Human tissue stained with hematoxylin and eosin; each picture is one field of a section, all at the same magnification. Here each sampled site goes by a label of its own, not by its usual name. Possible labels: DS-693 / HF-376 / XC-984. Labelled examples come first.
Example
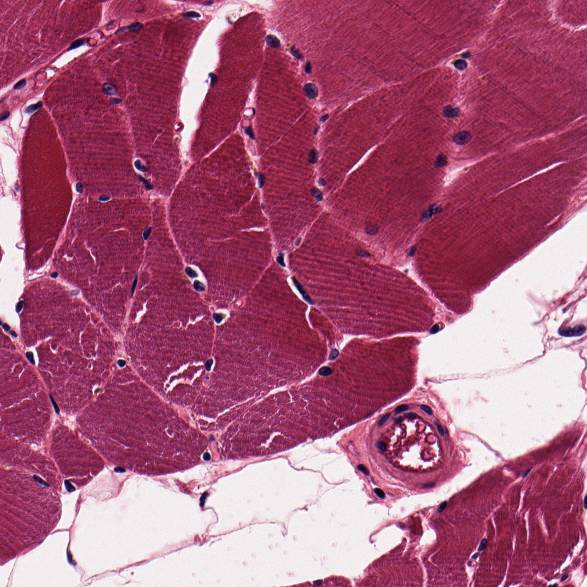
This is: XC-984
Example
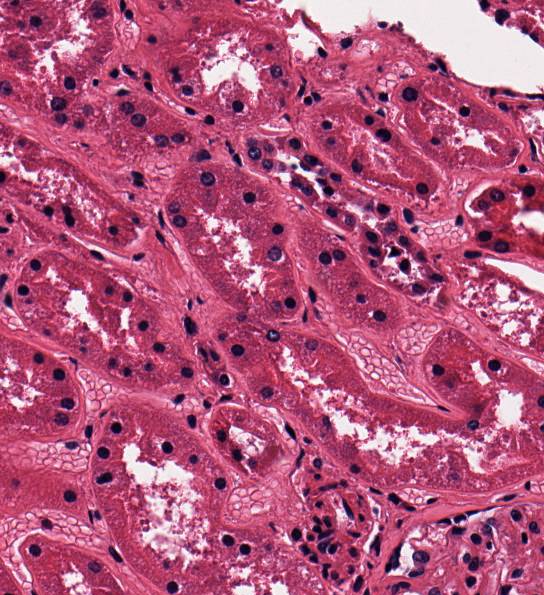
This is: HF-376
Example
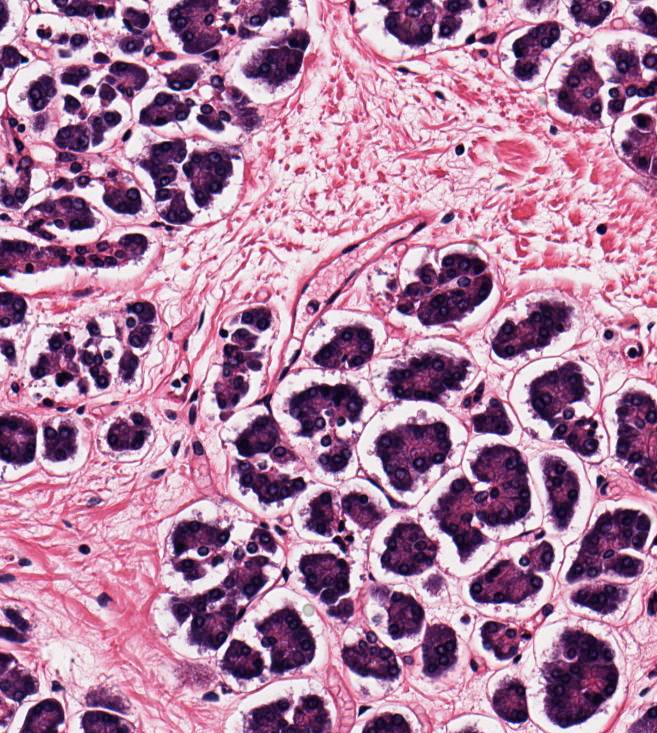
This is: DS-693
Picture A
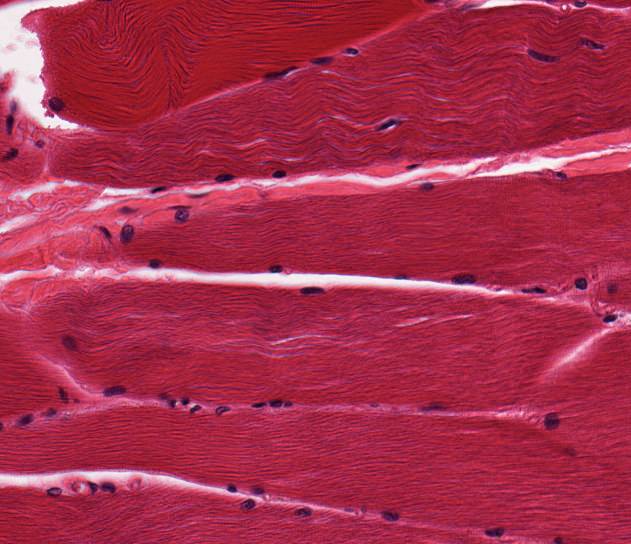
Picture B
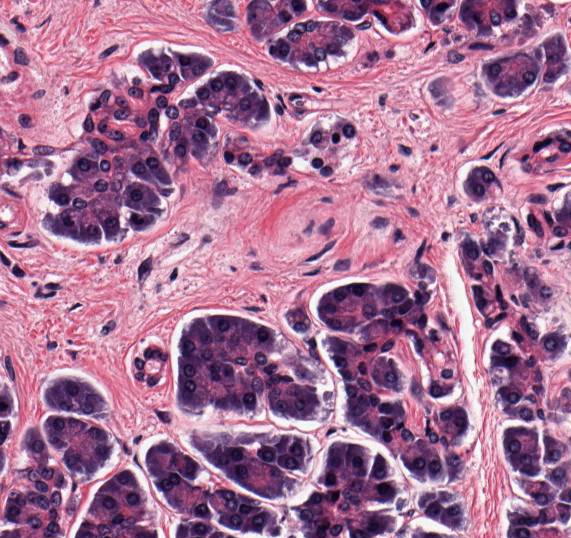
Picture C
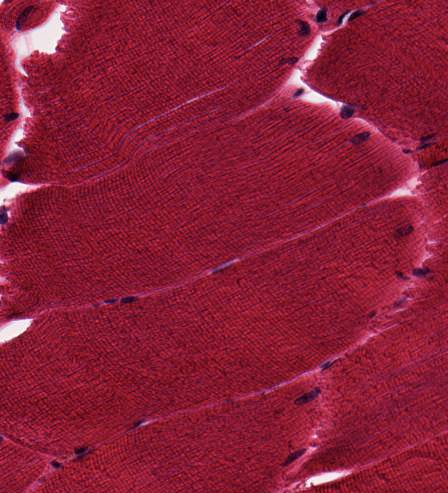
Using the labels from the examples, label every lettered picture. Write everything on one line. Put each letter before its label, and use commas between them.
A XC-984, B DS-693, C XC-984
